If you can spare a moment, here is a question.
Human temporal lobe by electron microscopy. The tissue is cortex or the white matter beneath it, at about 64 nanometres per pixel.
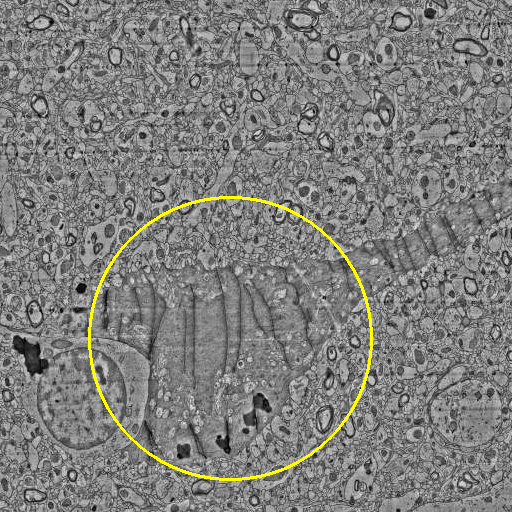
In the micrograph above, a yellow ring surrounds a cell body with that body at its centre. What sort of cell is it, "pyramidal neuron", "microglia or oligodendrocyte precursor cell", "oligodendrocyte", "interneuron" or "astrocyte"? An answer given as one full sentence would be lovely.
Centred inside the yellow ring, the cell body shown belongs to a pyramidal neuron in this micrograph.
